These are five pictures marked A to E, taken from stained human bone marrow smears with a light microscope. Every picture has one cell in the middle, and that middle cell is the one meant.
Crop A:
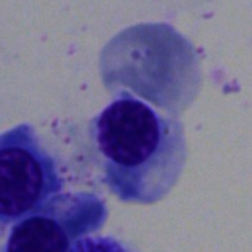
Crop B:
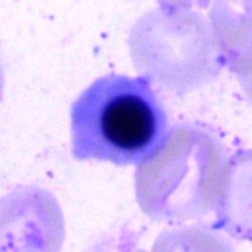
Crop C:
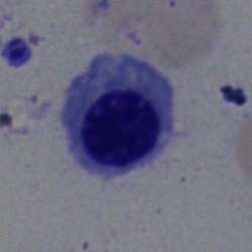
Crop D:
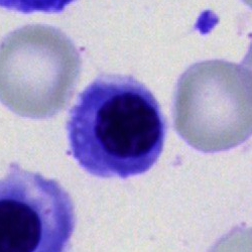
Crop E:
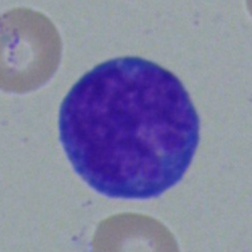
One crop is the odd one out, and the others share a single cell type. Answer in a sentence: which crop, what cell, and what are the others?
Crop E is the exception here: it is a blast, and the others are erythroblasts.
